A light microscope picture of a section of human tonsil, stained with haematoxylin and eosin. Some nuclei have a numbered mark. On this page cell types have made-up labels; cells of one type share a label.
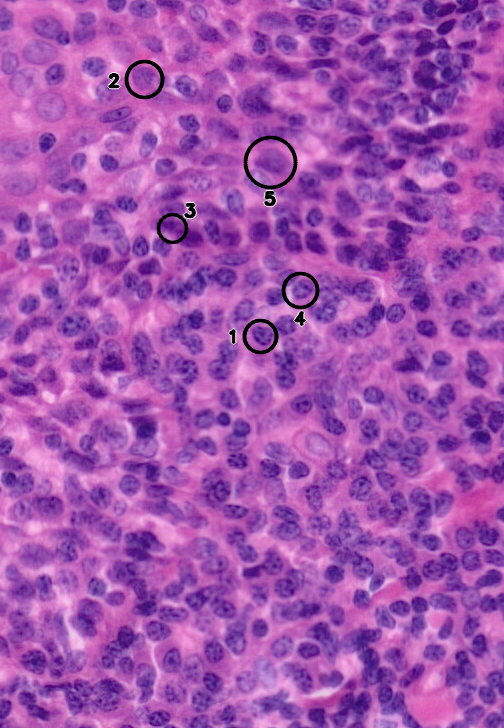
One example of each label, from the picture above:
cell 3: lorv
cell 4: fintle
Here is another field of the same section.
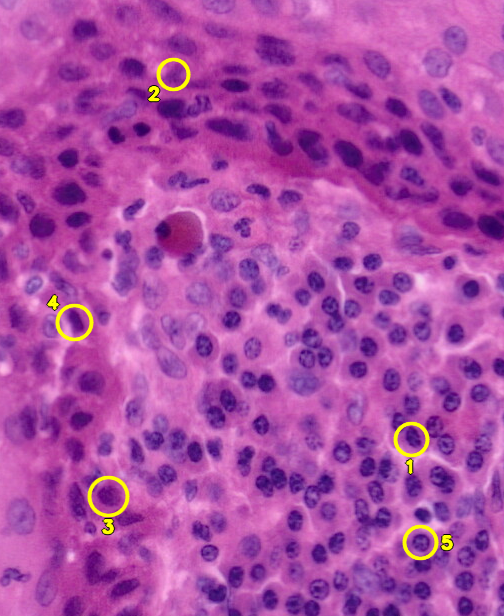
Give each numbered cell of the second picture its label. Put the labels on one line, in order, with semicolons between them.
fintle; lorv; lorv; lorv; fintle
